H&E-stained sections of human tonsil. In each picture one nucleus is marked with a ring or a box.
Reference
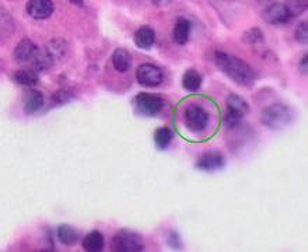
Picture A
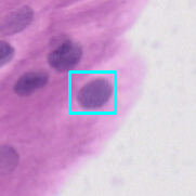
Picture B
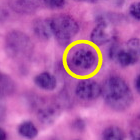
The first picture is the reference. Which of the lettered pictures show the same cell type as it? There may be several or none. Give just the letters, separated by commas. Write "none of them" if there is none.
B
